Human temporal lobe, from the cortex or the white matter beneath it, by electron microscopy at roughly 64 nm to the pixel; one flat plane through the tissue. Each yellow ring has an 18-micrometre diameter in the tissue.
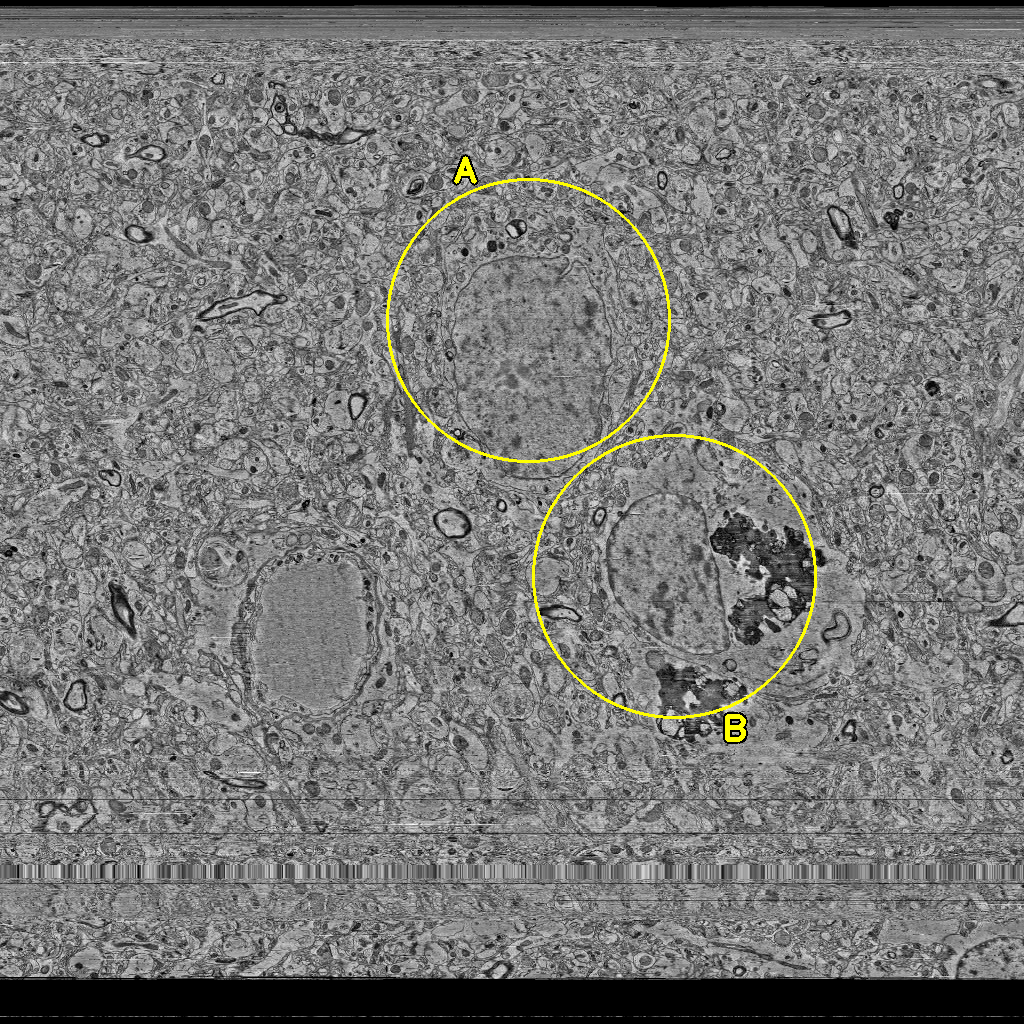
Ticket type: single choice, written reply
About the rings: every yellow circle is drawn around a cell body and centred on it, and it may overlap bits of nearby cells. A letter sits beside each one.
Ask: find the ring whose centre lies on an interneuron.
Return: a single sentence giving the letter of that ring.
At the centre of the ring marked A lies the cell asked for.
